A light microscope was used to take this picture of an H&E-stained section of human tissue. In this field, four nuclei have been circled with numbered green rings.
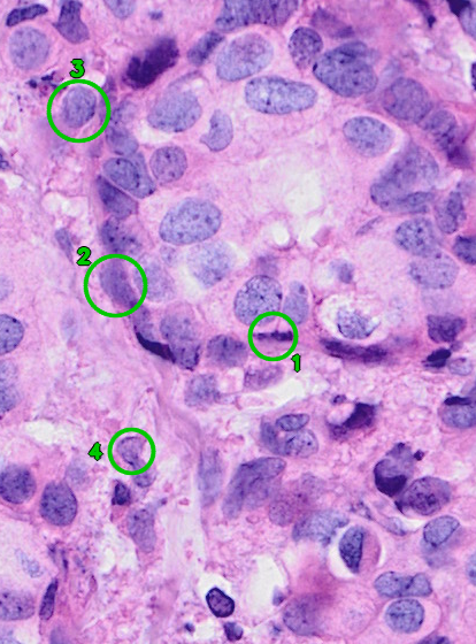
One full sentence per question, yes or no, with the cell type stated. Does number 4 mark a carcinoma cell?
No, the cell carrying number 4 is a macrophage, monocyte or dendritic cell rather than a carcinoma cell.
